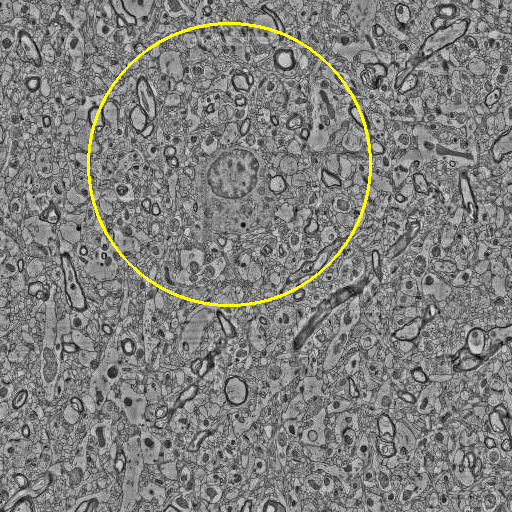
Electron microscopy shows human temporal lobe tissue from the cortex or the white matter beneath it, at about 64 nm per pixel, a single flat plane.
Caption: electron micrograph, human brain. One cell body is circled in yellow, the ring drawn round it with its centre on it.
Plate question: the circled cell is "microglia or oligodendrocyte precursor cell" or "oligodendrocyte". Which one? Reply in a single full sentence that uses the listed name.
The yellow ring on the plate is centred on an oligodendrocyte, going by the listed names.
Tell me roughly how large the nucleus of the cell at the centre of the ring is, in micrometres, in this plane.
Roughly 3 micrometers across in this plane.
